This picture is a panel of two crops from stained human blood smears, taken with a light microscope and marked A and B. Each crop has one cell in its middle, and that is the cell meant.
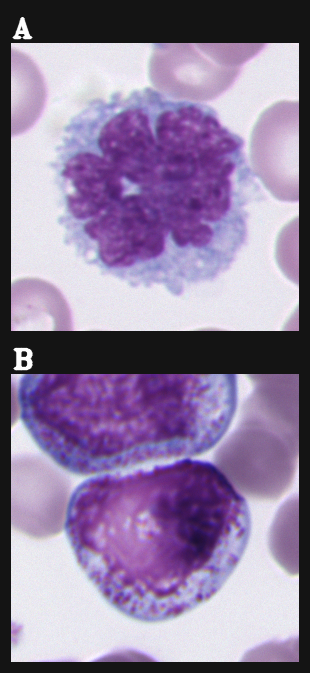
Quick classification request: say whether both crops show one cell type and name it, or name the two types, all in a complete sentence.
No, the correct reading is a monocyte in crop A and a myelocyte in crop B.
